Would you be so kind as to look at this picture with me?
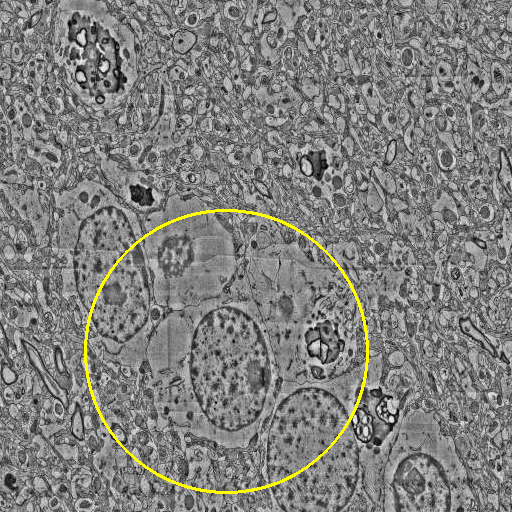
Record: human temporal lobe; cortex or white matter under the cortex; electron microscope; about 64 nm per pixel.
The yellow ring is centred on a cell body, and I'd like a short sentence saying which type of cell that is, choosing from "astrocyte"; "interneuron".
The cell body in the ring belongs to an astrocyte.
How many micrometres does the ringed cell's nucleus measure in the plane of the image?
The nucleus is about 8 micrometres in length and 5 in width, clearly longer than it is wide in this plane.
